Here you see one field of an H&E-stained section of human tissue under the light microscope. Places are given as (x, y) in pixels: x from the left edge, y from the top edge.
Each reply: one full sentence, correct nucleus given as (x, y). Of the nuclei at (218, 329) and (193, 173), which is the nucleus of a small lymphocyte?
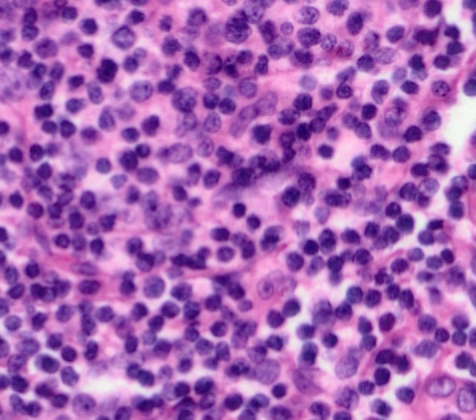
The nucleus positioned at (218, 329) forms part of a small lymphocyte.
